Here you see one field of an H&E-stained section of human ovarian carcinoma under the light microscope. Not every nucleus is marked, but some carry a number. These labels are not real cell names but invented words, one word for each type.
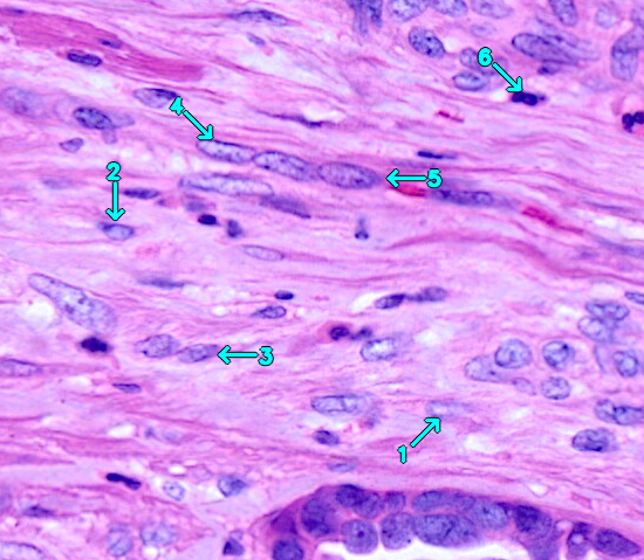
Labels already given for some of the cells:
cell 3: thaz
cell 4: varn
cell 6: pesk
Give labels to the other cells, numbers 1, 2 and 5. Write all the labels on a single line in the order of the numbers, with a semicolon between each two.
thaz; thaz; varn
